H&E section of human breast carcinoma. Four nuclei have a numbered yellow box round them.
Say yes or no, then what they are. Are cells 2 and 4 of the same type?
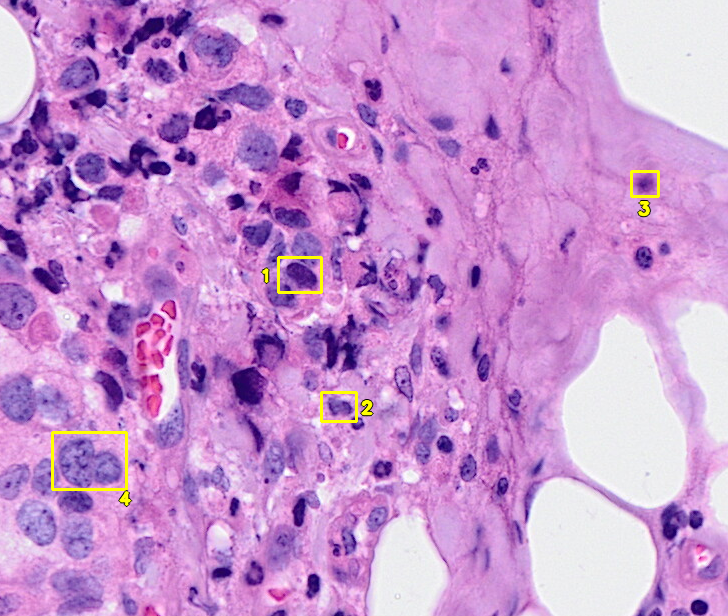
No, cell 2 is a macrophage, monocyte or dendritic cell, but cell 4 is a carcinoma cell.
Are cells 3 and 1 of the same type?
No, cell 3 is a mast cell, and as for cell 1, it is a carcinoma cell.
